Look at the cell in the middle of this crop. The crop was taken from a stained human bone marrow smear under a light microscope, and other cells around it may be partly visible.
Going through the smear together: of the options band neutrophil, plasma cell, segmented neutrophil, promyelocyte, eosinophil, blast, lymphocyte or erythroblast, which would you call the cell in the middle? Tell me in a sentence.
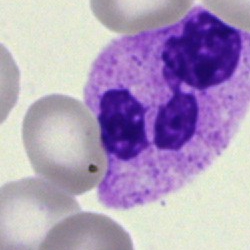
Standing at the centre of this crop is a segmented neutrophil.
